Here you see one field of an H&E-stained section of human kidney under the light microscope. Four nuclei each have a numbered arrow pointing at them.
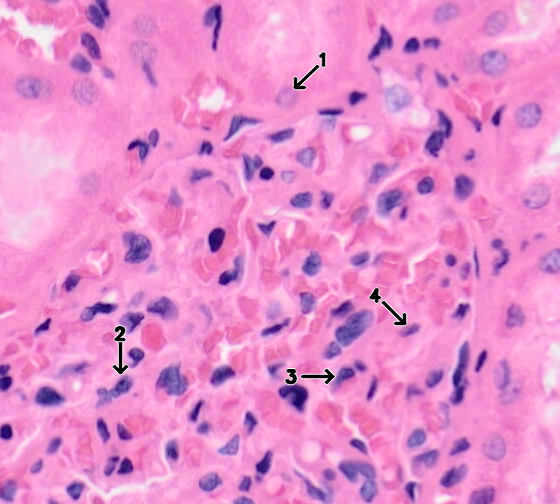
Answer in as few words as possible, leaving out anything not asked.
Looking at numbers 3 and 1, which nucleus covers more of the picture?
1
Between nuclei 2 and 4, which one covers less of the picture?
4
